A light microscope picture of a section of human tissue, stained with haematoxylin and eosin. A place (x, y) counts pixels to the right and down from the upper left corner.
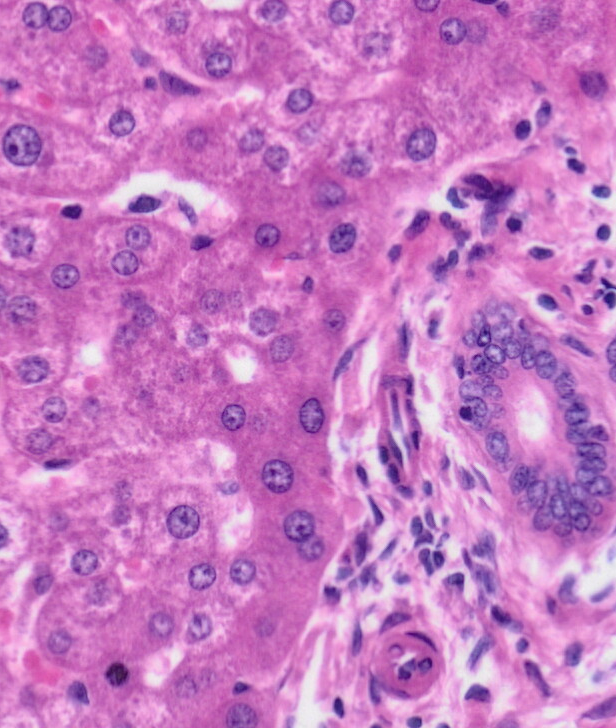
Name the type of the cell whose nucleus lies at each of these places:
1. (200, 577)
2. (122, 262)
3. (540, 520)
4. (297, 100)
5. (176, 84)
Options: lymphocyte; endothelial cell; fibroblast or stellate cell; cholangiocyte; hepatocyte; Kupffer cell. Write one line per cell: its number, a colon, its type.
1: hepatocyte
2: hepatocyte
3: cholangiocyte
4: hepatocyte
5: Kupffer cell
